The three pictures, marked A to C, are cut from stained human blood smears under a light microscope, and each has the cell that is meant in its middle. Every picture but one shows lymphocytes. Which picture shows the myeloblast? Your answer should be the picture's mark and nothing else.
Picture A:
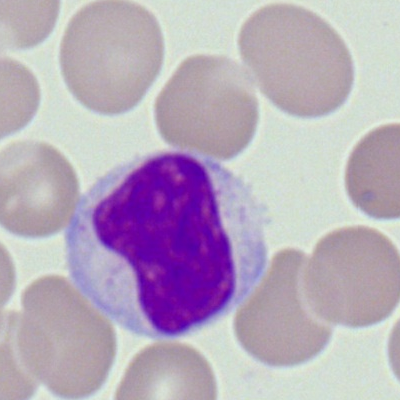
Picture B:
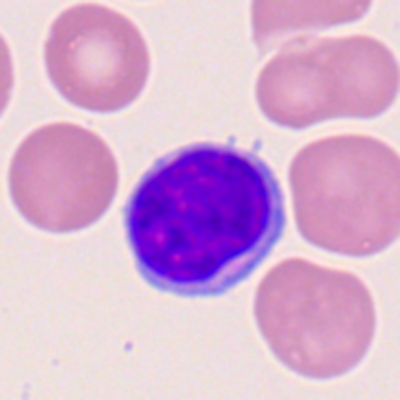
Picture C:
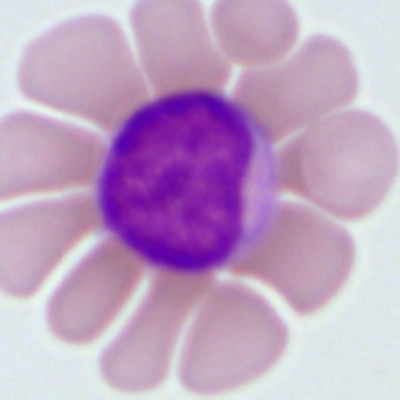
C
